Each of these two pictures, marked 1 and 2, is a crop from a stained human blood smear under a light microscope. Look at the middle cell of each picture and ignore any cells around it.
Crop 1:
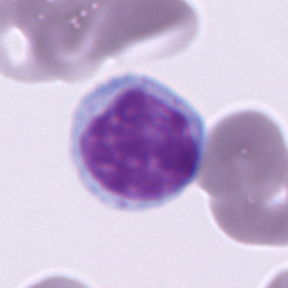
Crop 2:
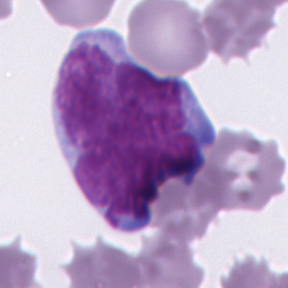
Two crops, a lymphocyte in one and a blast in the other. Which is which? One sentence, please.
As for the pair, crop 1 is a lymphocyte and crop 2 is a blast.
